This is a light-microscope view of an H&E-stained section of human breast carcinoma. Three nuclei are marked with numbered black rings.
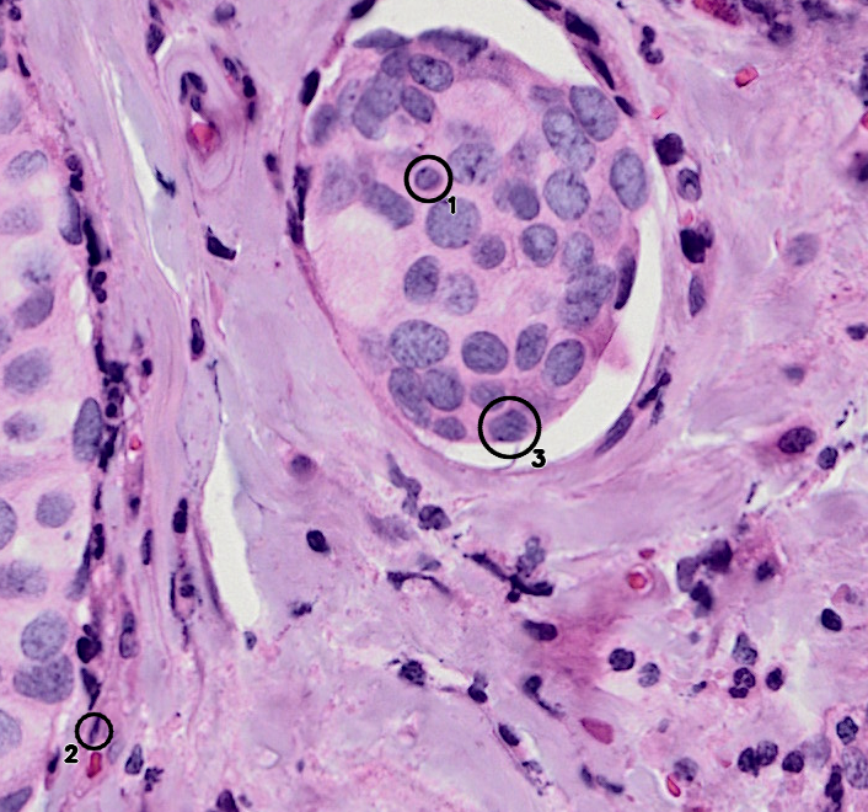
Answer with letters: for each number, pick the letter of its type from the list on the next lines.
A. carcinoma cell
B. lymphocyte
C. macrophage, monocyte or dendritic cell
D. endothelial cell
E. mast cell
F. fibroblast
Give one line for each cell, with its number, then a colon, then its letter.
1: A
2: D
3: A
